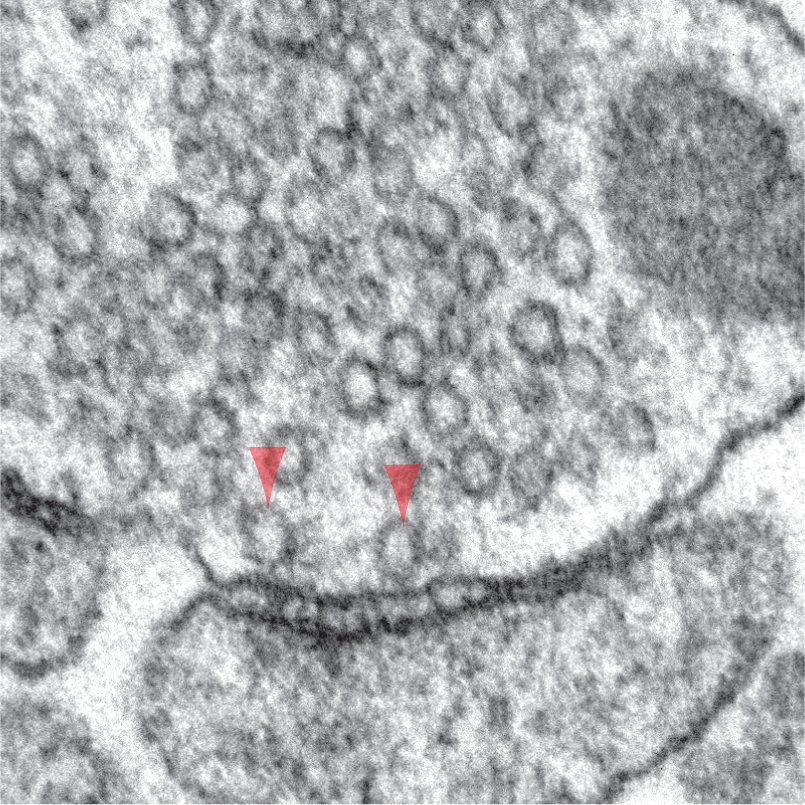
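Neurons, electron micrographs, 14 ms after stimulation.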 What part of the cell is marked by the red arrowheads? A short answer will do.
Undocked vesicle.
